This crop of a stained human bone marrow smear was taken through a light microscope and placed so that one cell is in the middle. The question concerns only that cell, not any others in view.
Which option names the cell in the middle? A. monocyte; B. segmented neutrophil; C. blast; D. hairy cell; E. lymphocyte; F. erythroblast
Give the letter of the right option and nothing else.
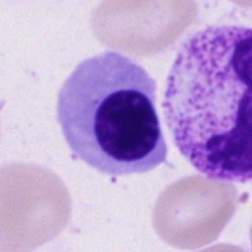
F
